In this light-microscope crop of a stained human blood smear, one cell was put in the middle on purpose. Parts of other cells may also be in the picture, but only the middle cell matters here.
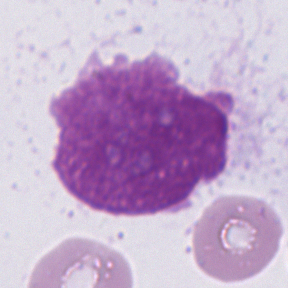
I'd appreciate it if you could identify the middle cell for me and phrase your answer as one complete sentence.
By type, the central cell of the crop is a smudge cell.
